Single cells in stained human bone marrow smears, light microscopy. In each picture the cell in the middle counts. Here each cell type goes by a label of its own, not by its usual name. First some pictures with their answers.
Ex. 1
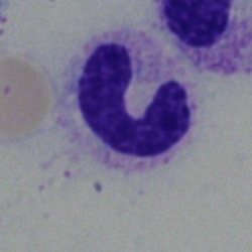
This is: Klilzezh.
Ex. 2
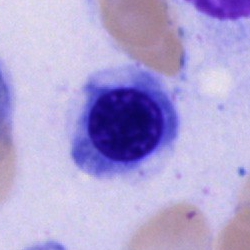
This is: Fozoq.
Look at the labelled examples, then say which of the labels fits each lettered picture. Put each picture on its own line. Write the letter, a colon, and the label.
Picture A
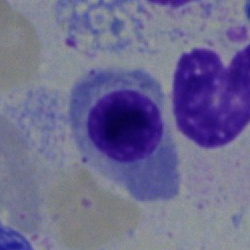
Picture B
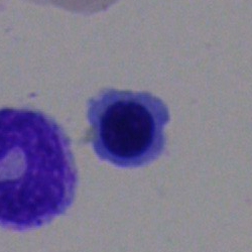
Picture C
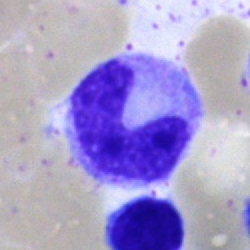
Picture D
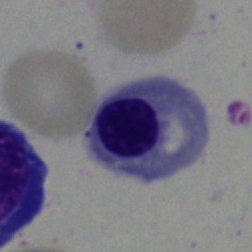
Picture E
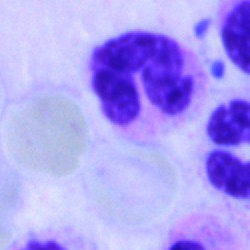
A: Fozoq.
B: Fozoq.
C: Klilzezh.
D: Fozoq.
E: Klilzezh.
